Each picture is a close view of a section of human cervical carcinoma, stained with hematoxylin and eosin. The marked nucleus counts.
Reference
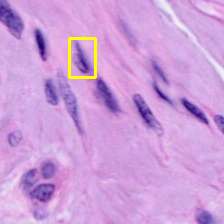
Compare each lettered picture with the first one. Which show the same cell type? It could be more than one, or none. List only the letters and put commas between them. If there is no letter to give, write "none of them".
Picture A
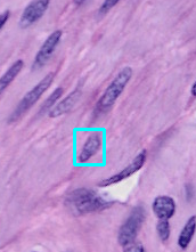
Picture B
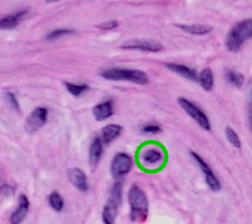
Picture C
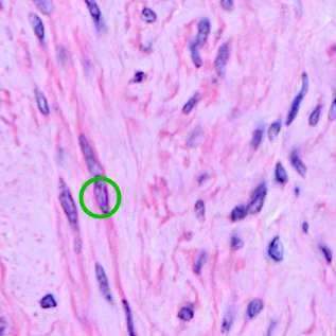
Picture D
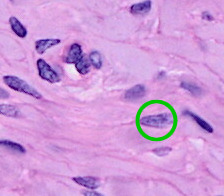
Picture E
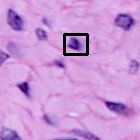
B, D, E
